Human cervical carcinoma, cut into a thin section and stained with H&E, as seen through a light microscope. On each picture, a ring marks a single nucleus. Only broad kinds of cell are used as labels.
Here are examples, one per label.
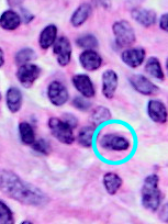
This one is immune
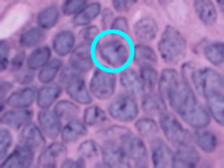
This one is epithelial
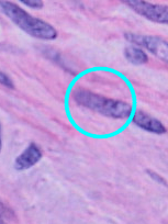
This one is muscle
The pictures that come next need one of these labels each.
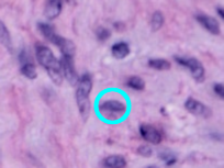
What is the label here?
muscle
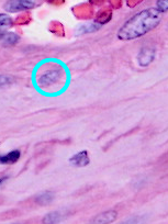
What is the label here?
muscle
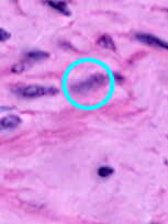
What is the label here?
muscle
